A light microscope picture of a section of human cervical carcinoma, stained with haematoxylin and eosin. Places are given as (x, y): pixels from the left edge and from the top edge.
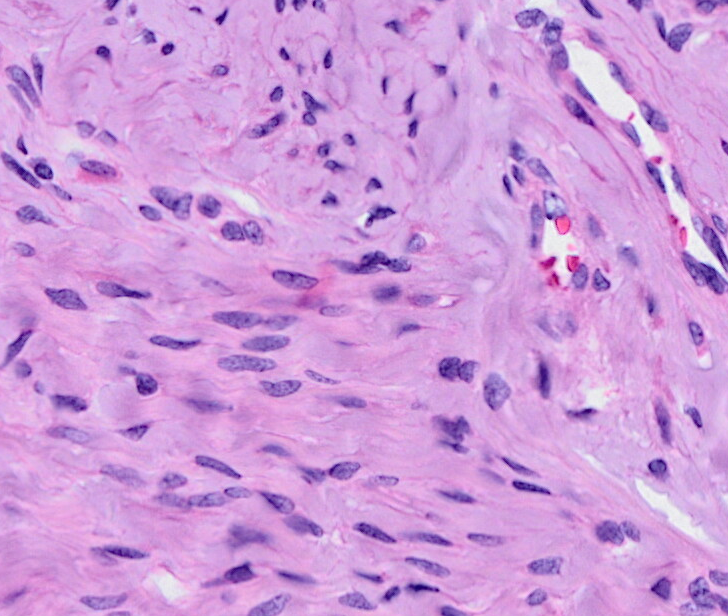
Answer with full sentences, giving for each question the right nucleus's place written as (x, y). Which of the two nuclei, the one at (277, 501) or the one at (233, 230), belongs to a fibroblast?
The nucleus that sits at (277, 501) is the nucleus of a fibroblast.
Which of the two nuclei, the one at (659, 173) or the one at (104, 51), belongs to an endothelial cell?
Housed in an endothelial cell is the nucleus at (659, 173), not the other one.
